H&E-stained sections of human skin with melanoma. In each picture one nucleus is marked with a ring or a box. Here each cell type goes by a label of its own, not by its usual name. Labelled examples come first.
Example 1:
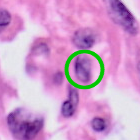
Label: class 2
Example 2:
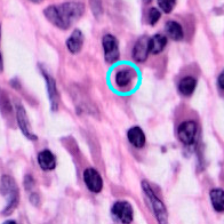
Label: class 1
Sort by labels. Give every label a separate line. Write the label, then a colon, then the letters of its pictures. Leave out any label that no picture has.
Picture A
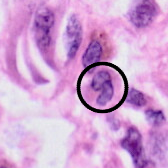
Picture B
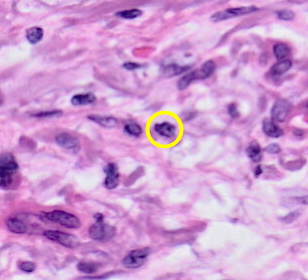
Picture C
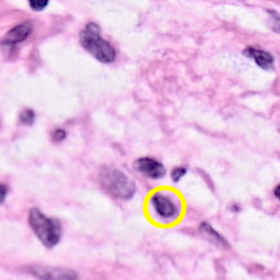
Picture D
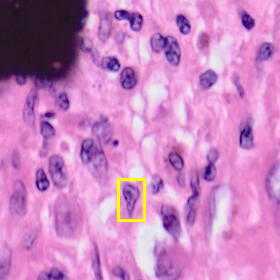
class 2: A, C, D
class 1: B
